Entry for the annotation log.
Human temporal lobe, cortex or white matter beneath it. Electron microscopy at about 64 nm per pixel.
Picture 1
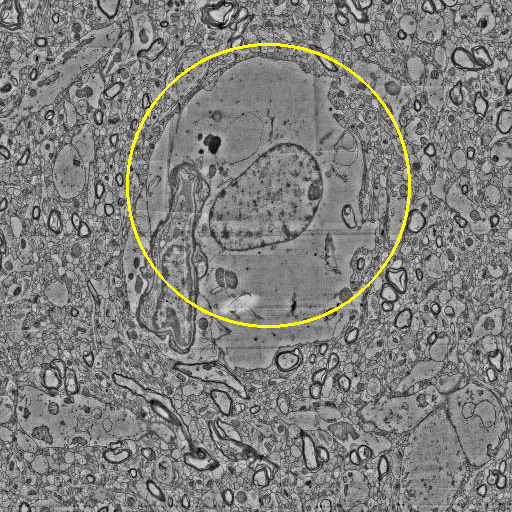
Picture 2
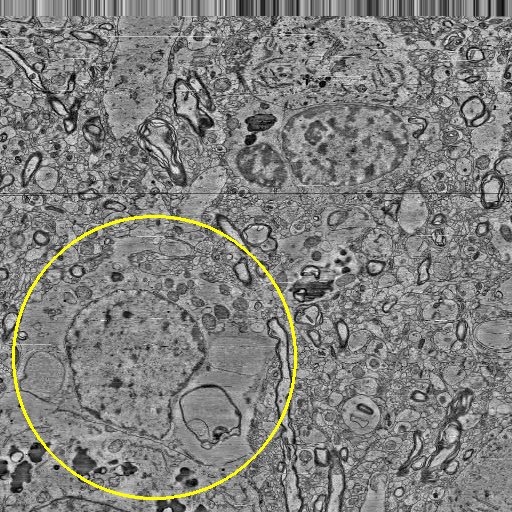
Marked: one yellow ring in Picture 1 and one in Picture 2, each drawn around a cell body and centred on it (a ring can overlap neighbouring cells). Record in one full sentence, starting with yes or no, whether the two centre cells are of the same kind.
Yes, both cells are of the same kind.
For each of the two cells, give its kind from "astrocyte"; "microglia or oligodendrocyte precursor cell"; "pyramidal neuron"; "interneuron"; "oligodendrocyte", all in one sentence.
In each of the two pictures, the ringed cell is an astrocyte.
